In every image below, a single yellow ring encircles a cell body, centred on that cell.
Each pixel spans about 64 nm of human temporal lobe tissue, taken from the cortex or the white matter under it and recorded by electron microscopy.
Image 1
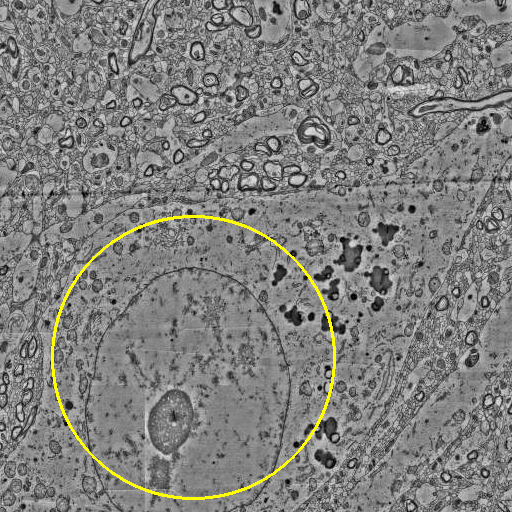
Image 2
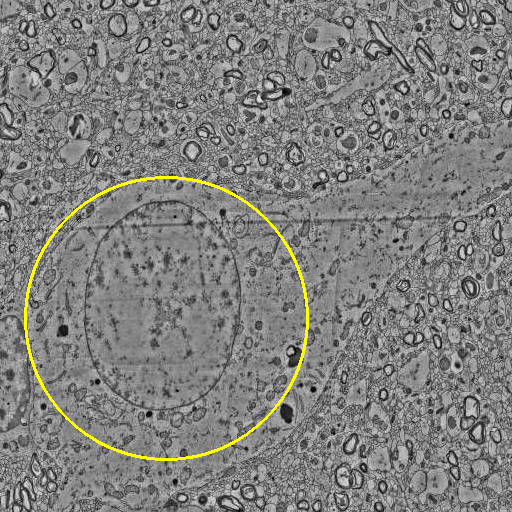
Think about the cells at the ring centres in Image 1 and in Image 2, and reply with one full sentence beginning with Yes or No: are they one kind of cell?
Yes, the cells centred in the rings of Image 1 and Image 2 are one kind of cell.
